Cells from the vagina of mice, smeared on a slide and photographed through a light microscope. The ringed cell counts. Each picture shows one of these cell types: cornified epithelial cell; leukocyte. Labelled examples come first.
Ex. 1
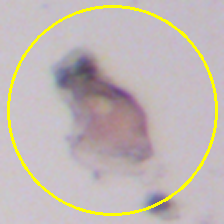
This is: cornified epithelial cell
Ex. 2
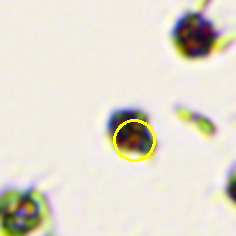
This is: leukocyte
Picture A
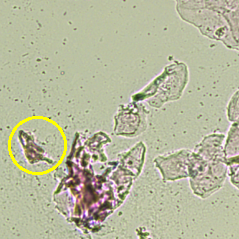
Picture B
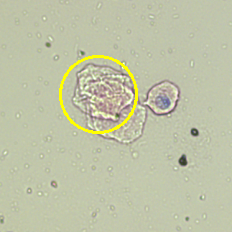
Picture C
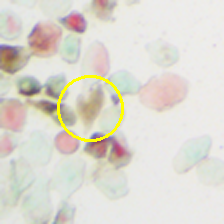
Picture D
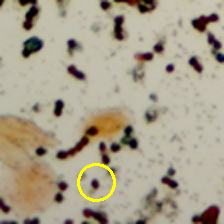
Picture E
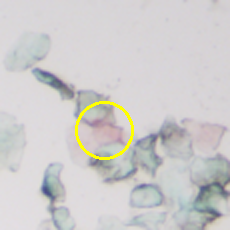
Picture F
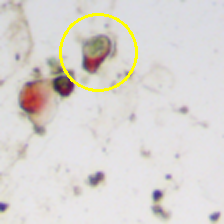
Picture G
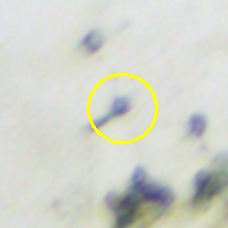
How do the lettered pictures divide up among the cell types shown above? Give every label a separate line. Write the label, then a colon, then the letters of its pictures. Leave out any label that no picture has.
cornified epithelial cell: A, B, C, E, F
leukocyte: D, G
